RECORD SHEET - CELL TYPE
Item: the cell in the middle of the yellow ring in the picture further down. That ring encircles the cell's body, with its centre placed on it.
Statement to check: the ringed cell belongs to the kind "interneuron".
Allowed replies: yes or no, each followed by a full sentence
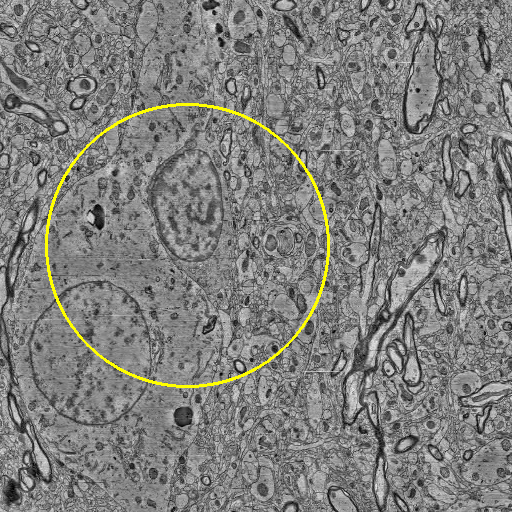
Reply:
No, the cell held at the centre of the ring in the picture is of a different kind.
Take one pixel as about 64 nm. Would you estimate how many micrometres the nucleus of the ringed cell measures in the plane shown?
The nucleus of the ringed cell is clearly longer than it is wide in this plane, about 7 by 5 micrometres.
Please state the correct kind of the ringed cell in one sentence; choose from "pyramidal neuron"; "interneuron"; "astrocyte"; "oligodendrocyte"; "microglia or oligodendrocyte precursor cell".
Instead, the ring in this picture marks an oligodendrocyte.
